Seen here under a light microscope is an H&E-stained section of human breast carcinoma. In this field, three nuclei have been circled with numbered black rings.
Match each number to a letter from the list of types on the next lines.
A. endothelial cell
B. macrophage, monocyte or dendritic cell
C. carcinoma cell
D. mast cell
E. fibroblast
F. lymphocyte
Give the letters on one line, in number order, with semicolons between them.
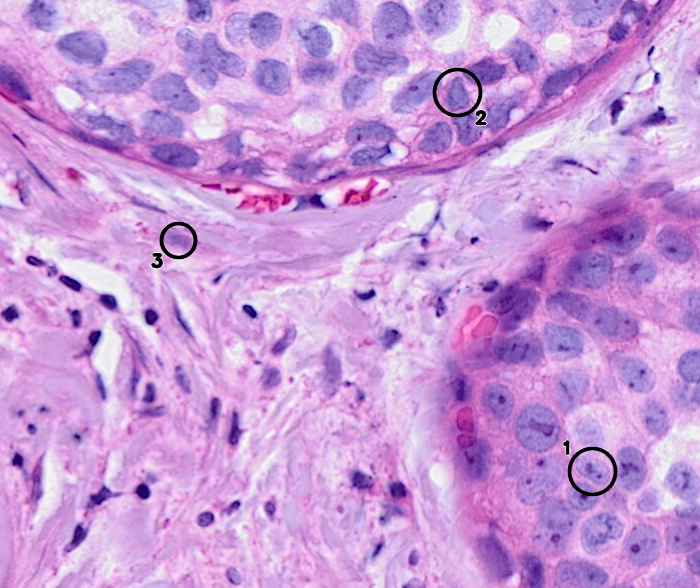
C; C; E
